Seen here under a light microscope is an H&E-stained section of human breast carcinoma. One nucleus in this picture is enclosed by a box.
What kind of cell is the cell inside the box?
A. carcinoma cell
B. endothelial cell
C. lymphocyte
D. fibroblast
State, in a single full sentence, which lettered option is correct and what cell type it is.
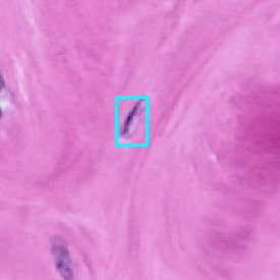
As the cell inside the box is a fibroblast, the correct choice is option D.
